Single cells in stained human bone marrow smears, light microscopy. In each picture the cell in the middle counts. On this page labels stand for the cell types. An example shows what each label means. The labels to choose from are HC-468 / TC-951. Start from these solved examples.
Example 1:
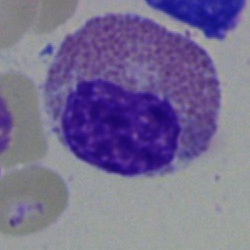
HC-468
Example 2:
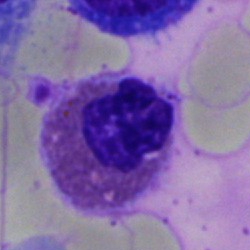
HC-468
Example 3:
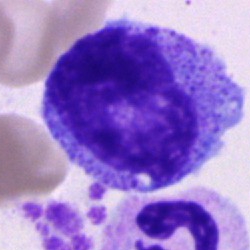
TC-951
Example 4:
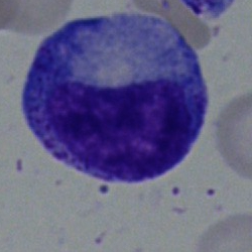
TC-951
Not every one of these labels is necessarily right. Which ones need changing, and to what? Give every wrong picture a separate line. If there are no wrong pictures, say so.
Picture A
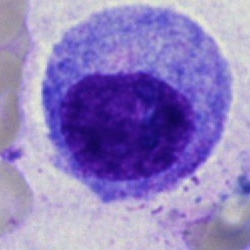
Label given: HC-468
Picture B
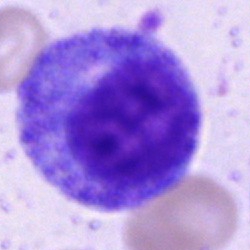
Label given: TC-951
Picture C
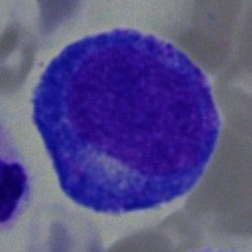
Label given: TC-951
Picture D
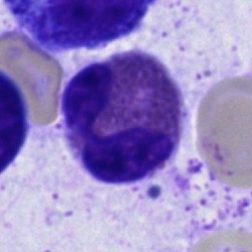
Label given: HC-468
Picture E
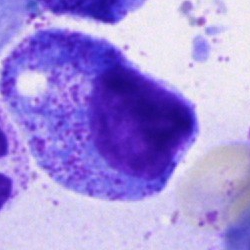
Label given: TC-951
A is labelled HC-468; correct label: TC-951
